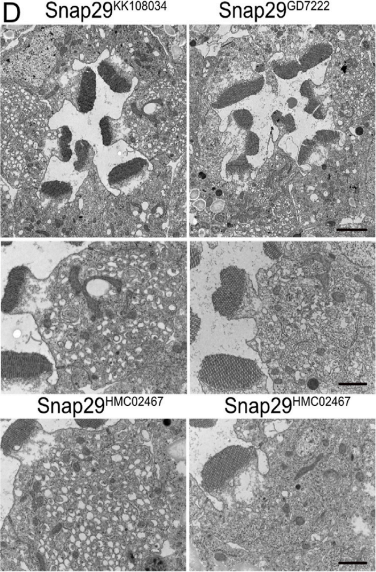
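Transmission electron micrographs show ommatidia cut in cross-section, with dark, finely striated rhabdomeres projecting into a pale central space. Some rhabdomeres look small or misshapen. At higher magnification the photoreceptor cytoplasm is packed with numerous round and irregular pale vesicles next to the rhabdomere.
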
